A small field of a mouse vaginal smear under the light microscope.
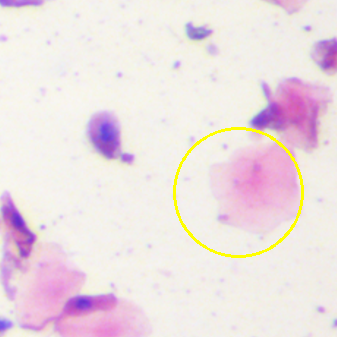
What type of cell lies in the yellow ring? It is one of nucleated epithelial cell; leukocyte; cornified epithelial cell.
The ringed cell is a cornified epithelial cell.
